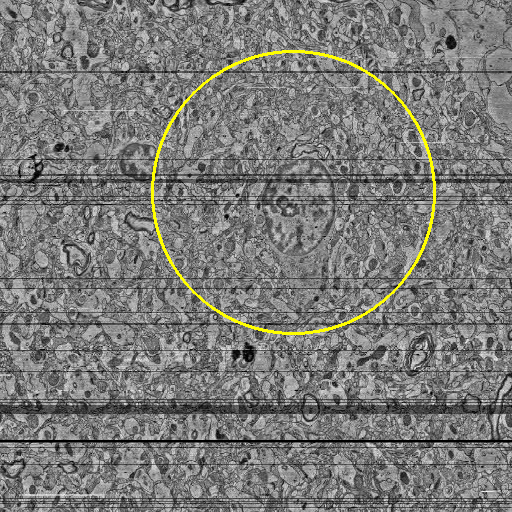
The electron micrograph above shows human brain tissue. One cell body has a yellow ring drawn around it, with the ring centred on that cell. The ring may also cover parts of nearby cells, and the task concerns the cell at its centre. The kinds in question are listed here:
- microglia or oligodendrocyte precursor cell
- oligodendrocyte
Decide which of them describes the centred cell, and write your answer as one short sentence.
The centred cell is an oligodendrocyte.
